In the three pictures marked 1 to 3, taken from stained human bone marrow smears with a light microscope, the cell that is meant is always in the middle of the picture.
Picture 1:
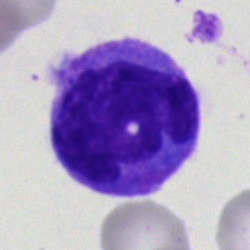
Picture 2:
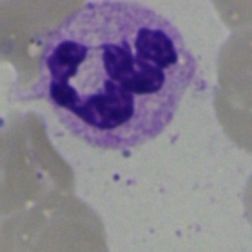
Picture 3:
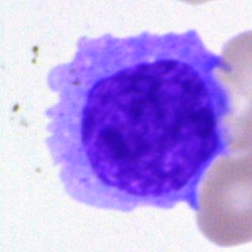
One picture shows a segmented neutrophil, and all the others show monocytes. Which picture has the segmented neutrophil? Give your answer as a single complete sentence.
Picture 2 shows the segmented neutrophil.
